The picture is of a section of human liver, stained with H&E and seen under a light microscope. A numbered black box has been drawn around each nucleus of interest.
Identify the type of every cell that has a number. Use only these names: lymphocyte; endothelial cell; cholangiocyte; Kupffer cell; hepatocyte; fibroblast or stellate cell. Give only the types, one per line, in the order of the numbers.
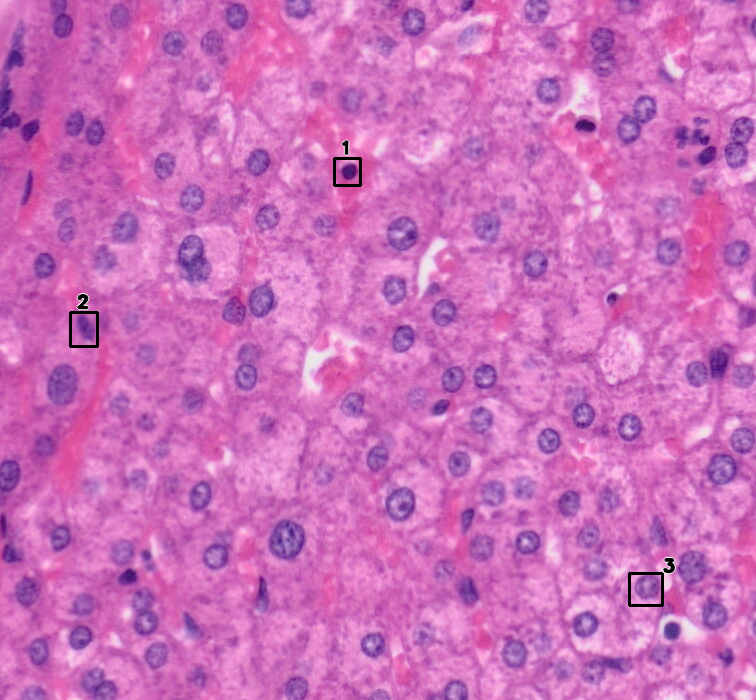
lymphocyte
fibroblast or stellate cell
hepatocyte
